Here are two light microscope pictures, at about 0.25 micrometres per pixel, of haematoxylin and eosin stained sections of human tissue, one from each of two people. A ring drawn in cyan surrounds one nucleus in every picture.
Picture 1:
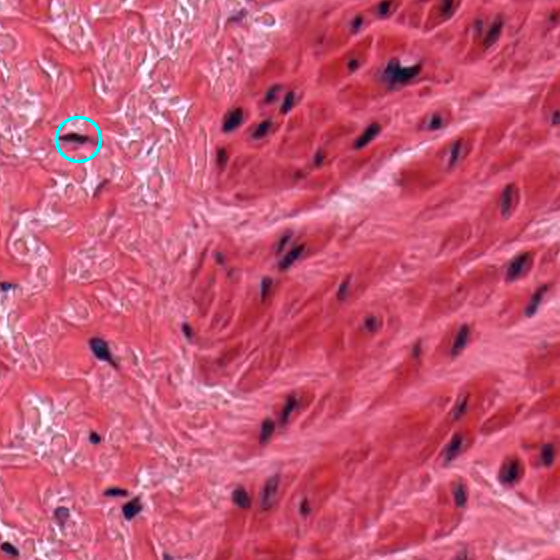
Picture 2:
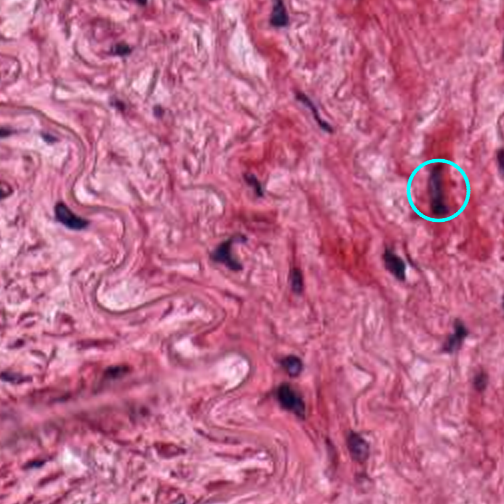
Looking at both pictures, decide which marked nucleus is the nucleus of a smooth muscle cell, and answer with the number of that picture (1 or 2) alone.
2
